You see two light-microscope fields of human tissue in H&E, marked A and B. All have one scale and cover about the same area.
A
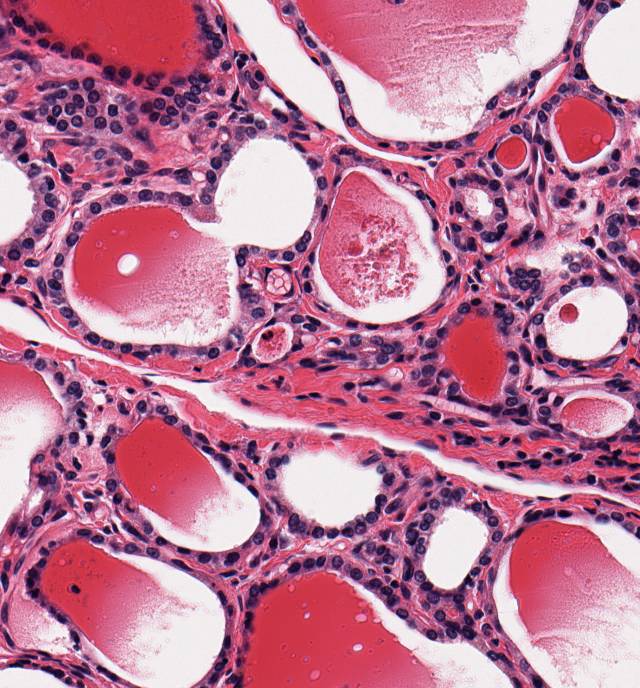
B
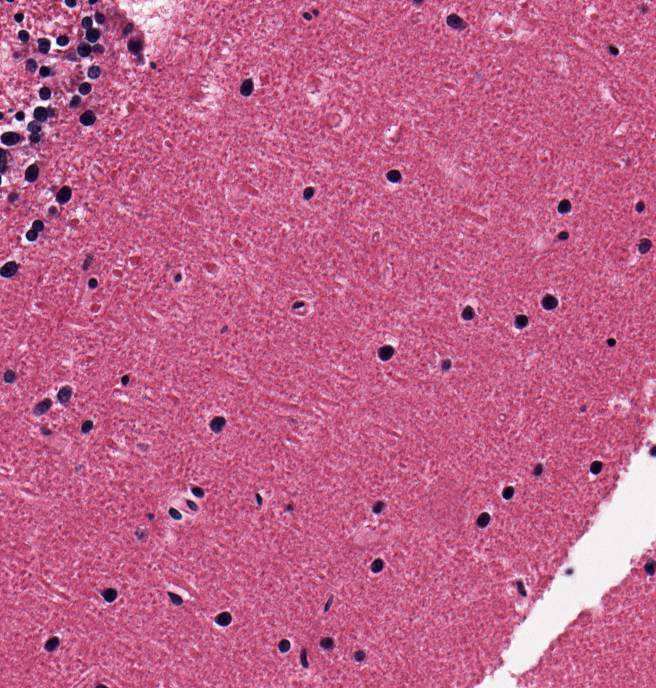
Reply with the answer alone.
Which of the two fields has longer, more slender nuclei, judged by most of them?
A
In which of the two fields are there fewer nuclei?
B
